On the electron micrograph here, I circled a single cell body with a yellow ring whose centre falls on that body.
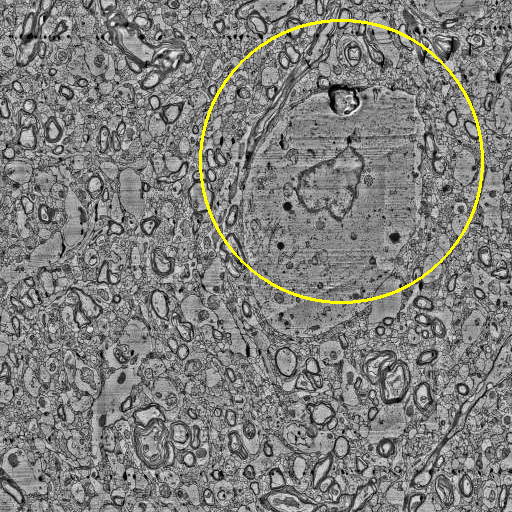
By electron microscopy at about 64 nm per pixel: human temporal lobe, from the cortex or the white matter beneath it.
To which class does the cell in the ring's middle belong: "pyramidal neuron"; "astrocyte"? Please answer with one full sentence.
In this picture, the cell body circled at the ring's centre belongs to a pyramidal neuron.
